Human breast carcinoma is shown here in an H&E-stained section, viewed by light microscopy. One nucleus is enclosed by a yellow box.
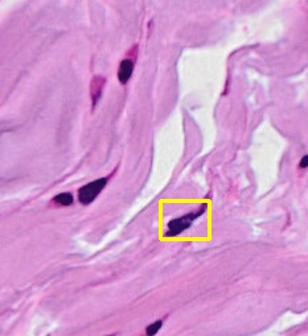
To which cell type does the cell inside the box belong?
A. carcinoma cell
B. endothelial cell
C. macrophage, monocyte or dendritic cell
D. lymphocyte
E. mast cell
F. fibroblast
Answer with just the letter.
F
